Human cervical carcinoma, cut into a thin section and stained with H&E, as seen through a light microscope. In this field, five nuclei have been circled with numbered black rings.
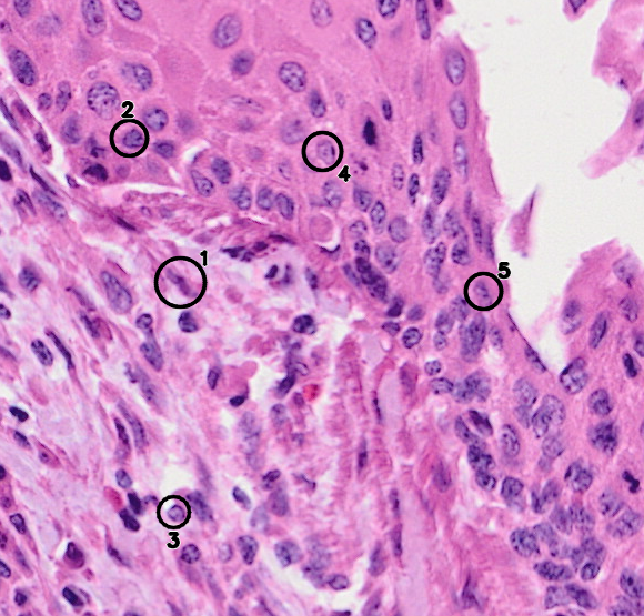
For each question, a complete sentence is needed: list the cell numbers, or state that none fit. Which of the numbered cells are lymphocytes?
Only one of the numbered nuclei, number 3, belongs to a lymphocyte.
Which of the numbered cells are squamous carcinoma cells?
So, the cells with numbers 2, 4 and 5 are squamous carcinoma cells.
